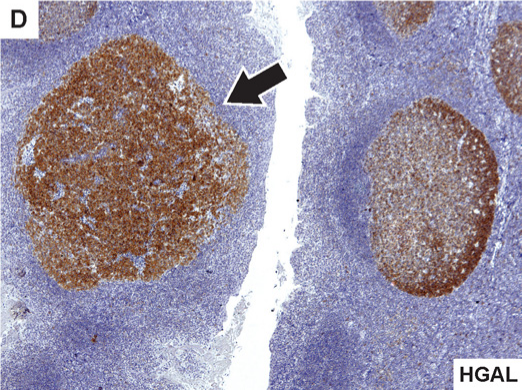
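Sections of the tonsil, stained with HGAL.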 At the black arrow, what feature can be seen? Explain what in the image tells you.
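Atypical follicle. The follicle at the arrow is irregular in outline. It is stained intense brown throughout. The neighbouring oval follicle stains less evenly, darker at one end.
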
